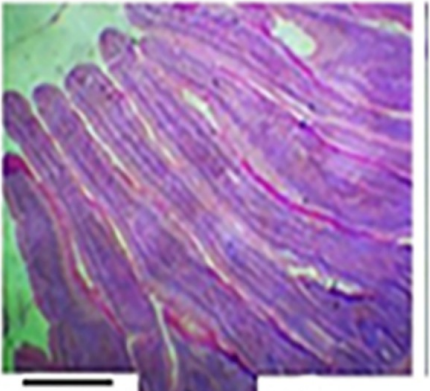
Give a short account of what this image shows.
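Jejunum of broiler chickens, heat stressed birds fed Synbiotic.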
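This section of the small intestine wall shows long, slender villi lying in parallel and running diagonally across the field. Each villus is covered by a densely purple-stained epithelium, with thin pale clefts separating neighbouring villi. The villi here look long and closely packed, filling most of the picture.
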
